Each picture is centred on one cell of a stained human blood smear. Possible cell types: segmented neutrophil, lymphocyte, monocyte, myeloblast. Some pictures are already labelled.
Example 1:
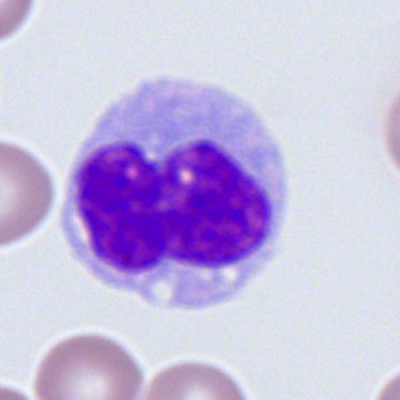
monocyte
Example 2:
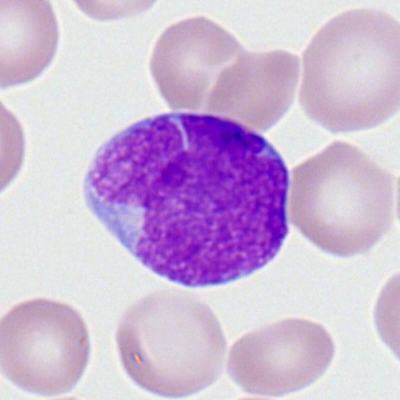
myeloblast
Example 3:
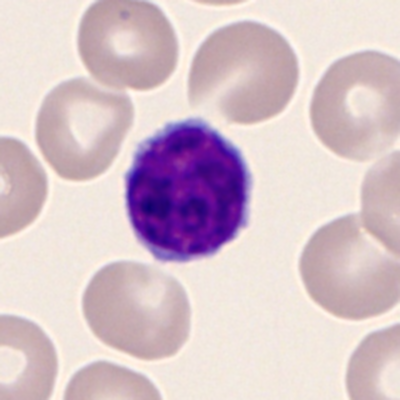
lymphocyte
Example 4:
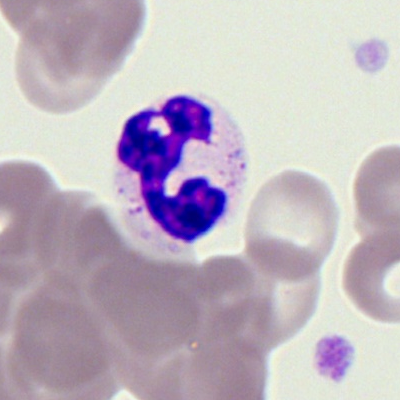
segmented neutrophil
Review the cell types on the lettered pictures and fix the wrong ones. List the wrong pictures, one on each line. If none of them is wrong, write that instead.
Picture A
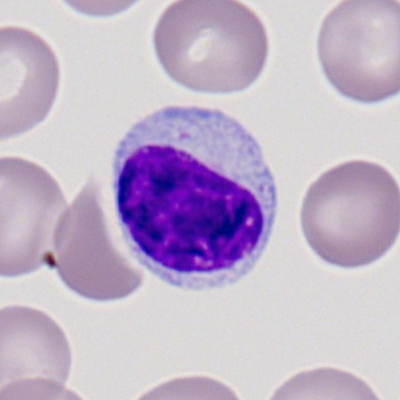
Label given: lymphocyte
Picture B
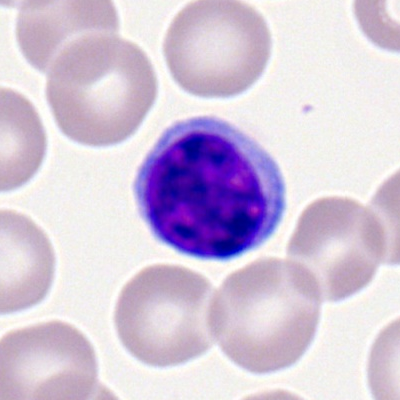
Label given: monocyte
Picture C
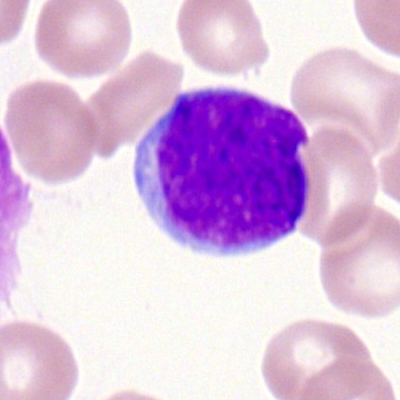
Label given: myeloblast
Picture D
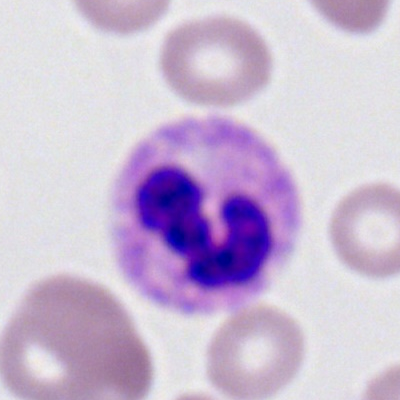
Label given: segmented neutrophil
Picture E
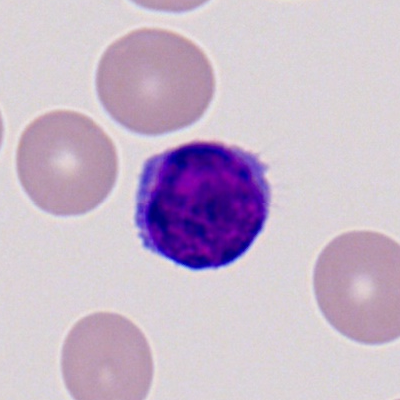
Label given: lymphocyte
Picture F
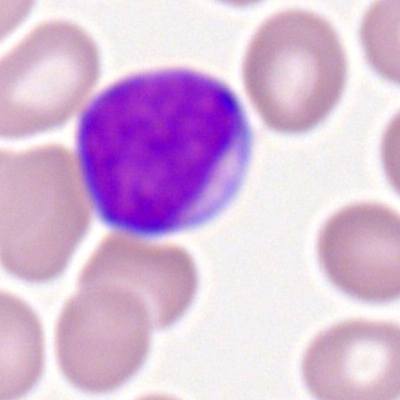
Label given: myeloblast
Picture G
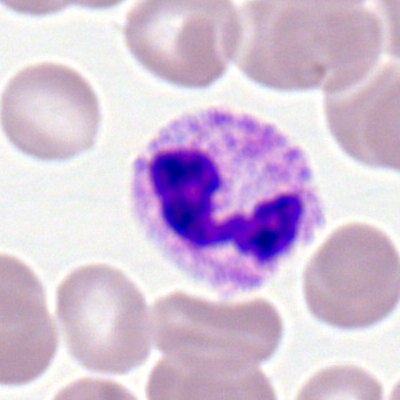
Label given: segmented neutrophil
B: not monocyte but lymphocyte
